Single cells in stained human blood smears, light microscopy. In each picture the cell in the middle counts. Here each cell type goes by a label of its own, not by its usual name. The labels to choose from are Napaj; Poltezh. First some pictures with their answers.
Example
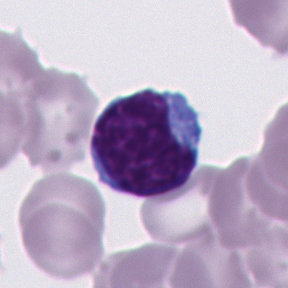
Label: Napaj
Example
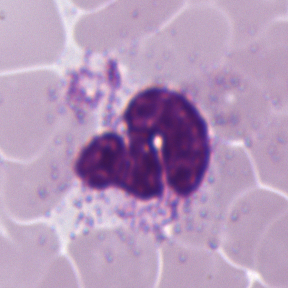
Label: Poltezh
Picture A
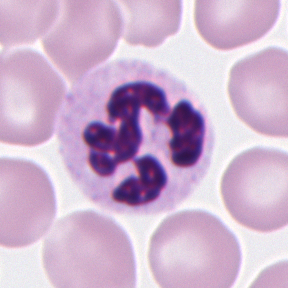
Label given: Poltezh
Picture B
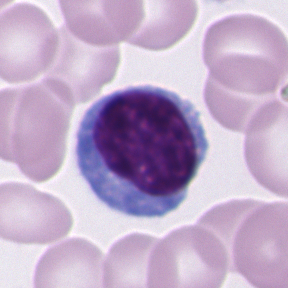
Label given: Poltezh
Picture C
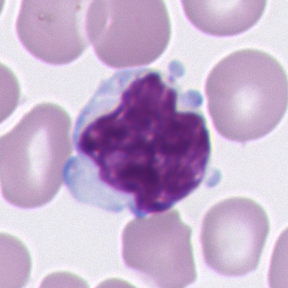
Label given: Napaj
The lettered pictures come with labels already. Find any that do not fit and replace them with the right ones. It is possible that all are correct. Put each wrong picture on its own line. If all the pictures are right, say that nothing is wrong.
B: change Poltezh to Napaj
